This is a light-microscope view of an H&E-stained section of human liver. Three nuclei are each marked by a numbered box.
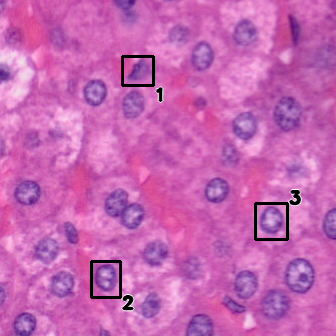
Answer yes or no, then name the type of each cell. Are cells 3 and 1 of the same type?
No, cell 3 is a hepatocyte, and as for cell 1, it is an endothelial cell.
